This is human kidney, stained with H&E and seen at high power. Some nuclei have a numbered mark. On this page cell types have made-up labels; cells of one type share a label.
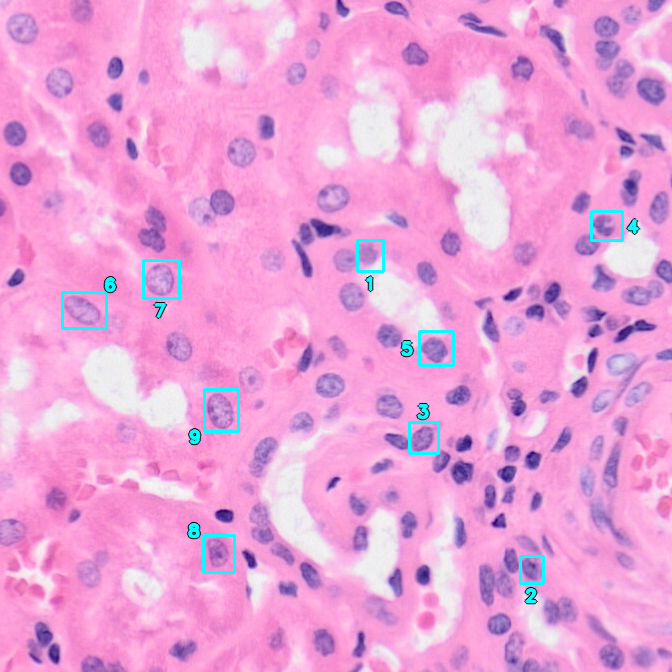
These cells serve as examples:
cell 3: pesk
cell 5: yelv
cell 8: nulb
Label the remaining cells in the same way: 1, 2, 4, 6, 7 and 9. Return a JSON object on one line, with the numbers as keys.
{"1": "yelv", "2": "pesk", "4": "pesk", "6": "nulb", "7": "nulb", "9": "nulb"}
